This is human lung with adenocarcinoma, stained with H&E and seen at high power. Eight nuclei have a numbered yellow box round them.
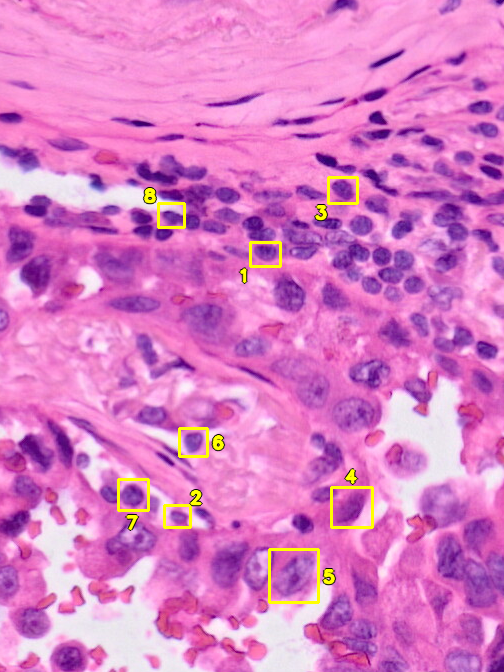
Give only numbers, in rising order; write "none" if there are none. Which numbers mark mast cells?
3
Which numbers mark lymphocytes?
1, 2, 6, 7, 8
